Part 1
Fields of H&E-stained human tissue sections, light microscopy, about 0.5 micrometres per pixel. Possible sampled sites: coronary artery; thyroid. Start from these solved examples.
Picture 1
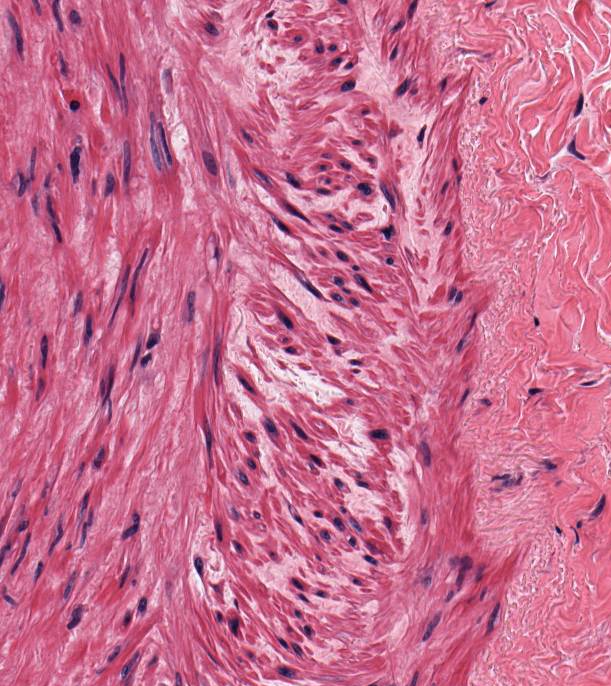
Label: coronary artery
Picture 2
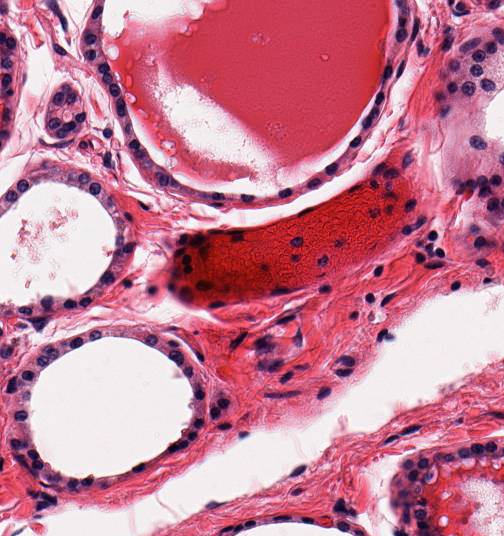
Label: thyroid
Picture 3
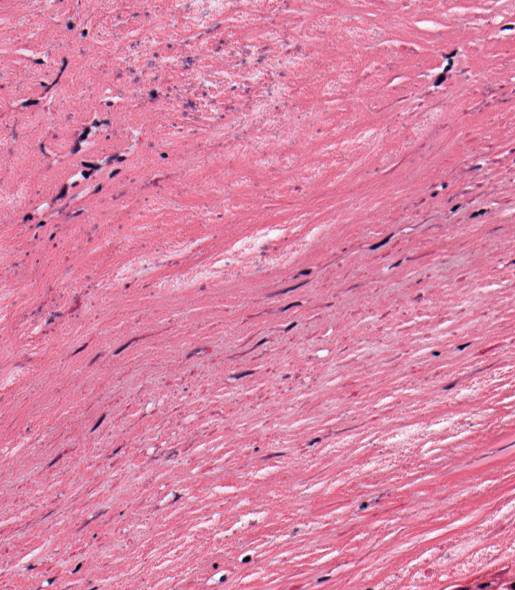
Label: coronary artery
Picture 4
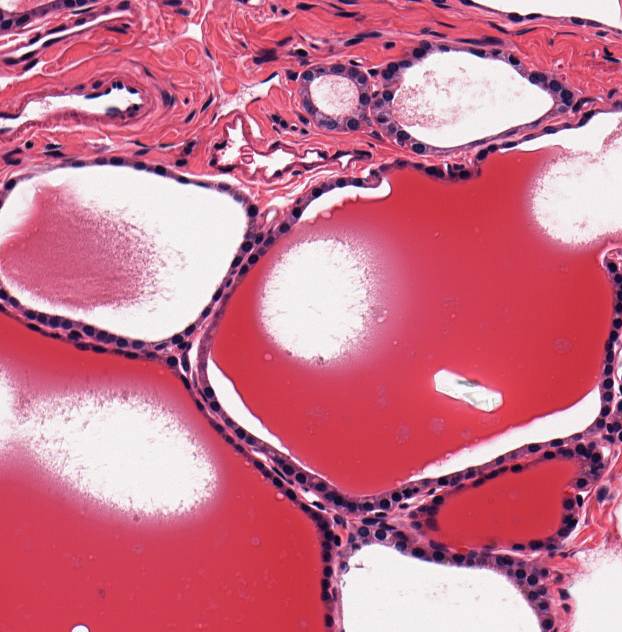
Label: thyroid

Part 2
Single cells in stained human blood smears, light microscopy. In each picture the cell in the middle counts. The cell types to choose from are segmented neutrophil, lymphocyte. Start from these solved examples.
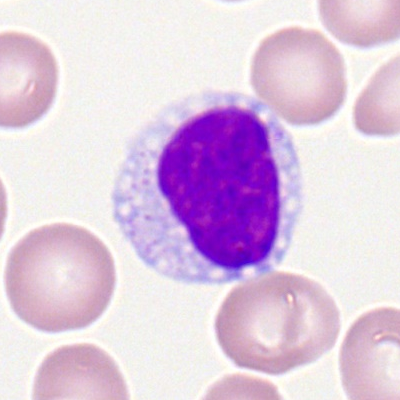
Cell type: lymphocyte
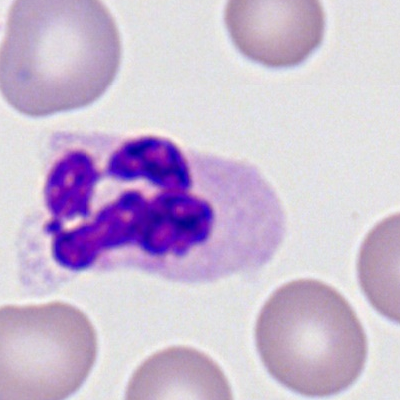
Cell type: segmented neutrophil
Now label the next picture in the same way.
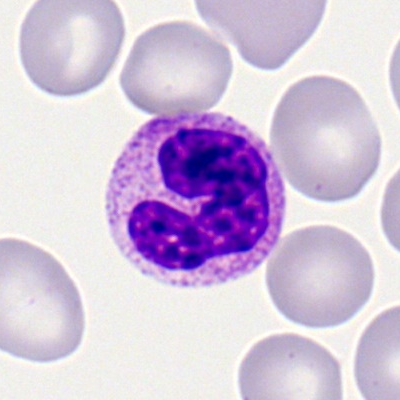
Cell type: segmented neutrophil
